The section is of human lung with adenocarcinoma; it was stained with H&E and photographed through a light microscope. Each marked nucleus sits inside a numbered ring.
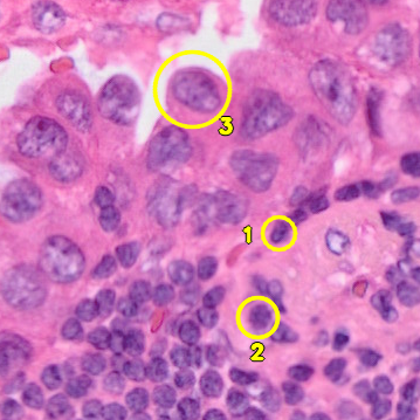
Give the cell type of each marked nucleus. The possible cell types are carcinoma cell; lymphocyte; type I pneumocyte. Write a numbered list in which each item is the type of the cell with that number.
1. lymphocyte
2. lymphocyte
3. carcinoma cell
